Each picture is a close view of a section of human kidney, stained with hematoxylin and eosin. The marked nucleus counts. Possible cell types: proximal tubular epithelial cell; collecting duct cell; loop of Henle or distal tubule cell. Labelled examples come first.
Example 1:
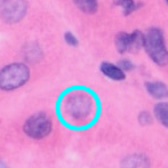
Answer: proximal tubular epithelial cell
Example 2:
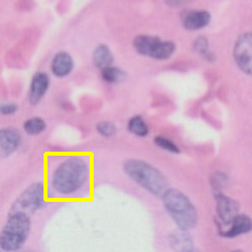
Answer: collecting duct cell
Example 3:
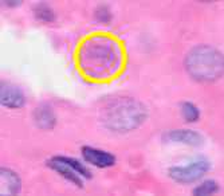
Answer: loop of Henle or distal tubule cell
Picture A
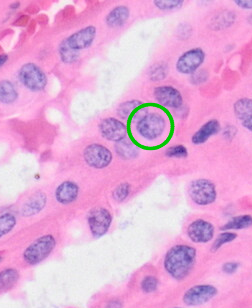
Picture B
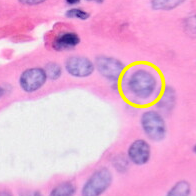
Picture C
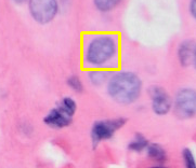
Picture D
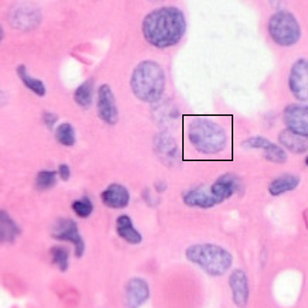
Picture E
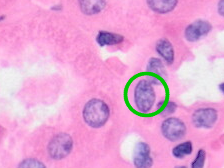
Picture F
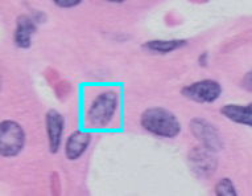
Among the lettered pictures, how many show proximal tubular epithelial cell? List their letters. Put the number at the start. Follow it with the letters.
0, none of them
